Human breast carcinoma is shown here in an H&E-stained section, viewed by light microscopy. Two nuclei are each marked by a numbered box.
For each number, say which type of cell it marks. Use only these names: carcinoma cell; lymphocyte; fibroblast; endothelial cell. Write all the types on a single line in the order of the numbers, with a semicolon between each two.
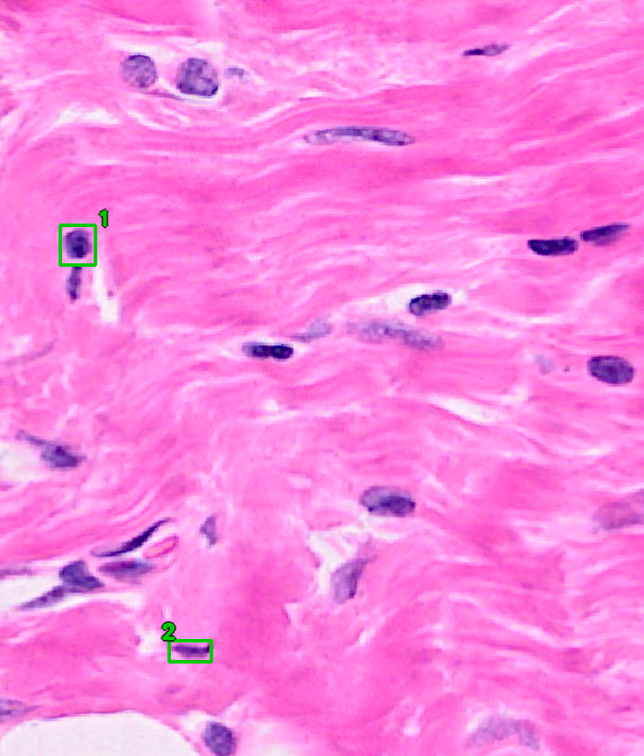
lymphocyte; fibroblast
